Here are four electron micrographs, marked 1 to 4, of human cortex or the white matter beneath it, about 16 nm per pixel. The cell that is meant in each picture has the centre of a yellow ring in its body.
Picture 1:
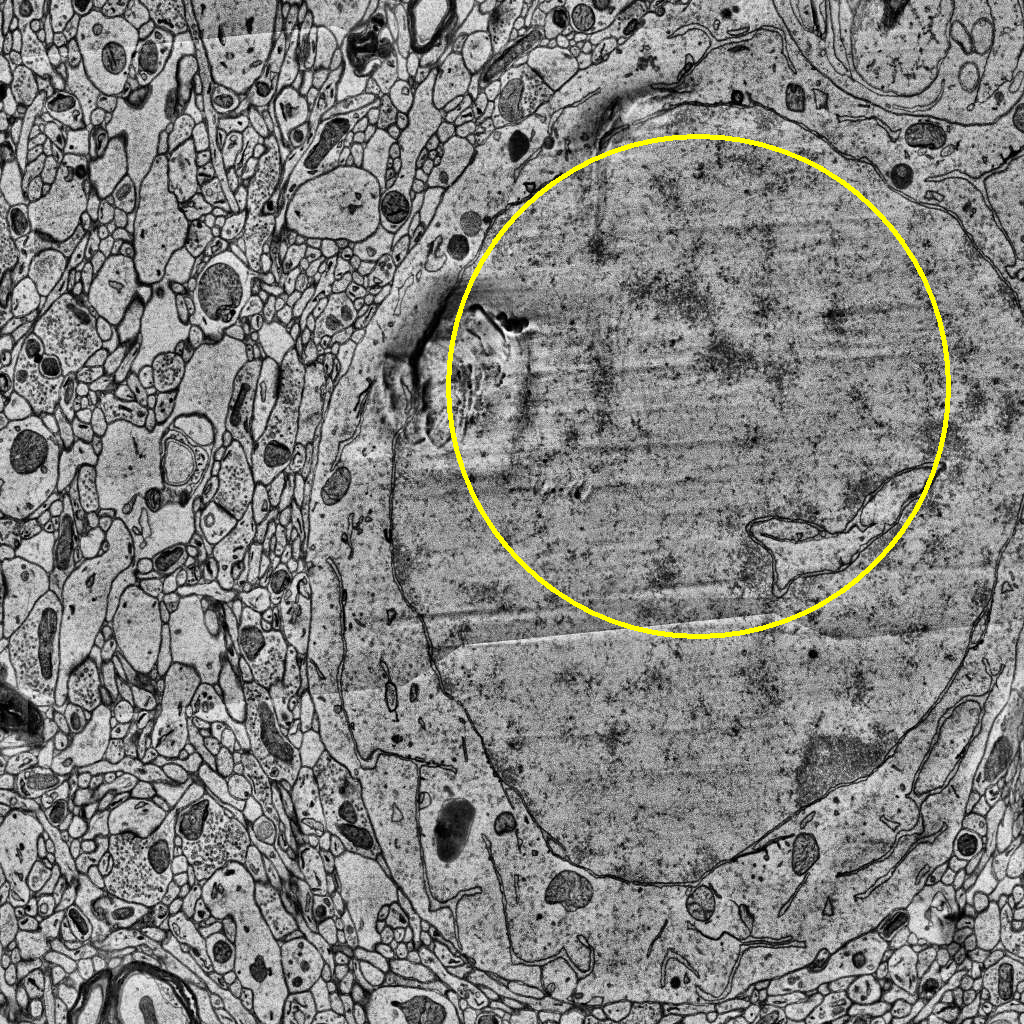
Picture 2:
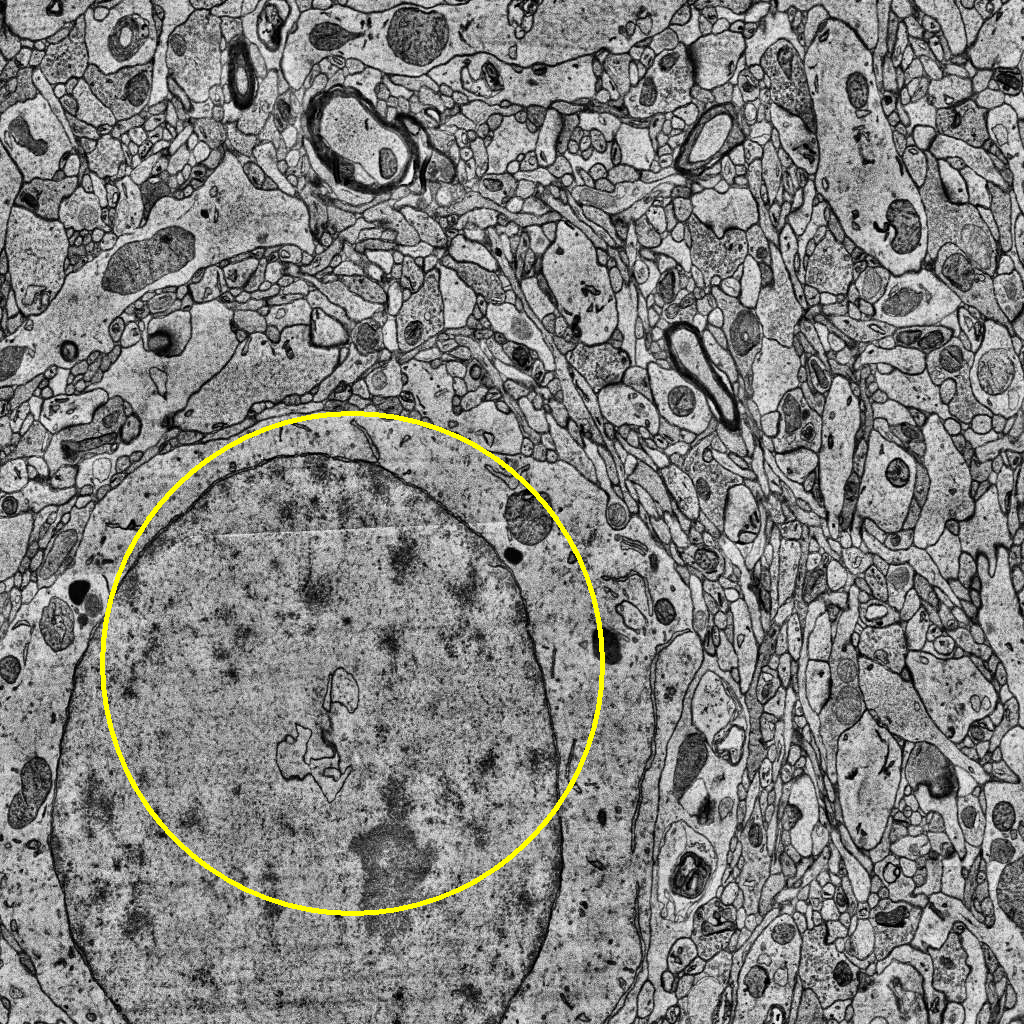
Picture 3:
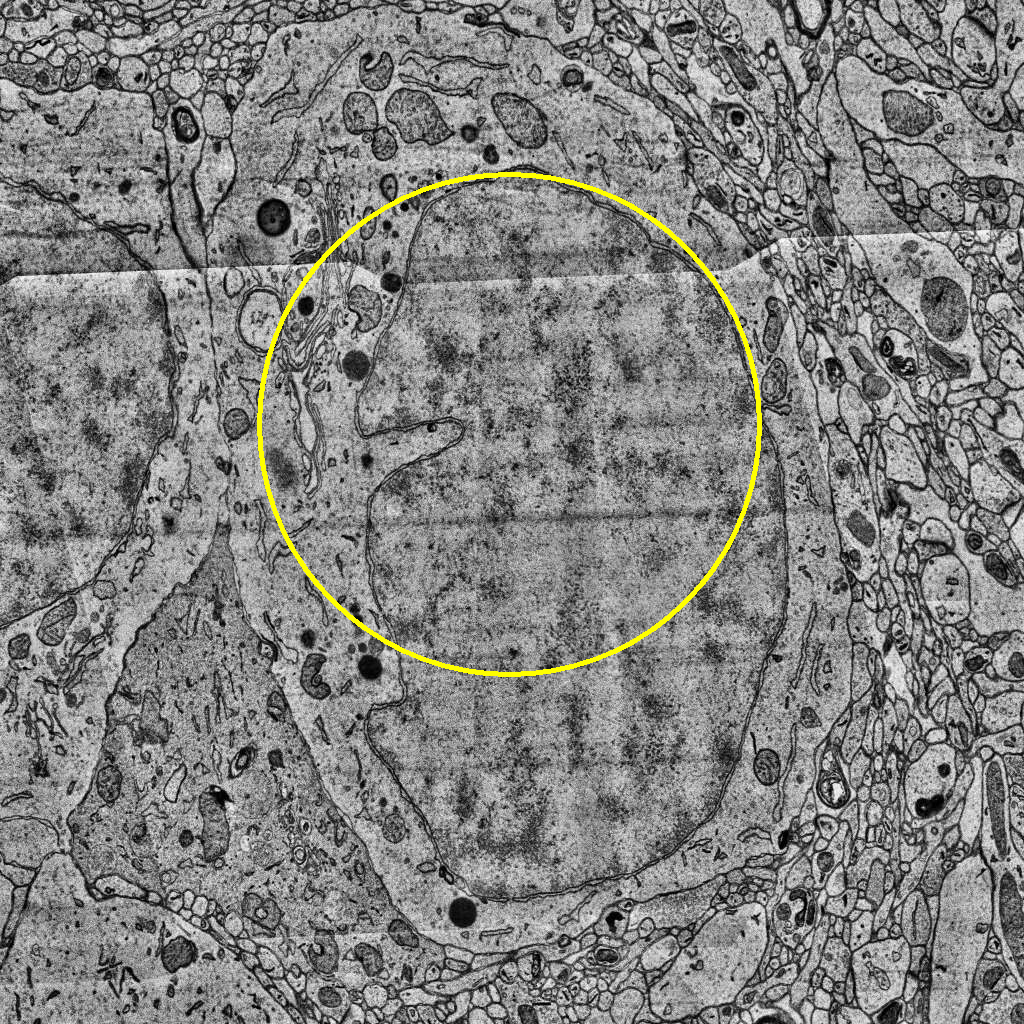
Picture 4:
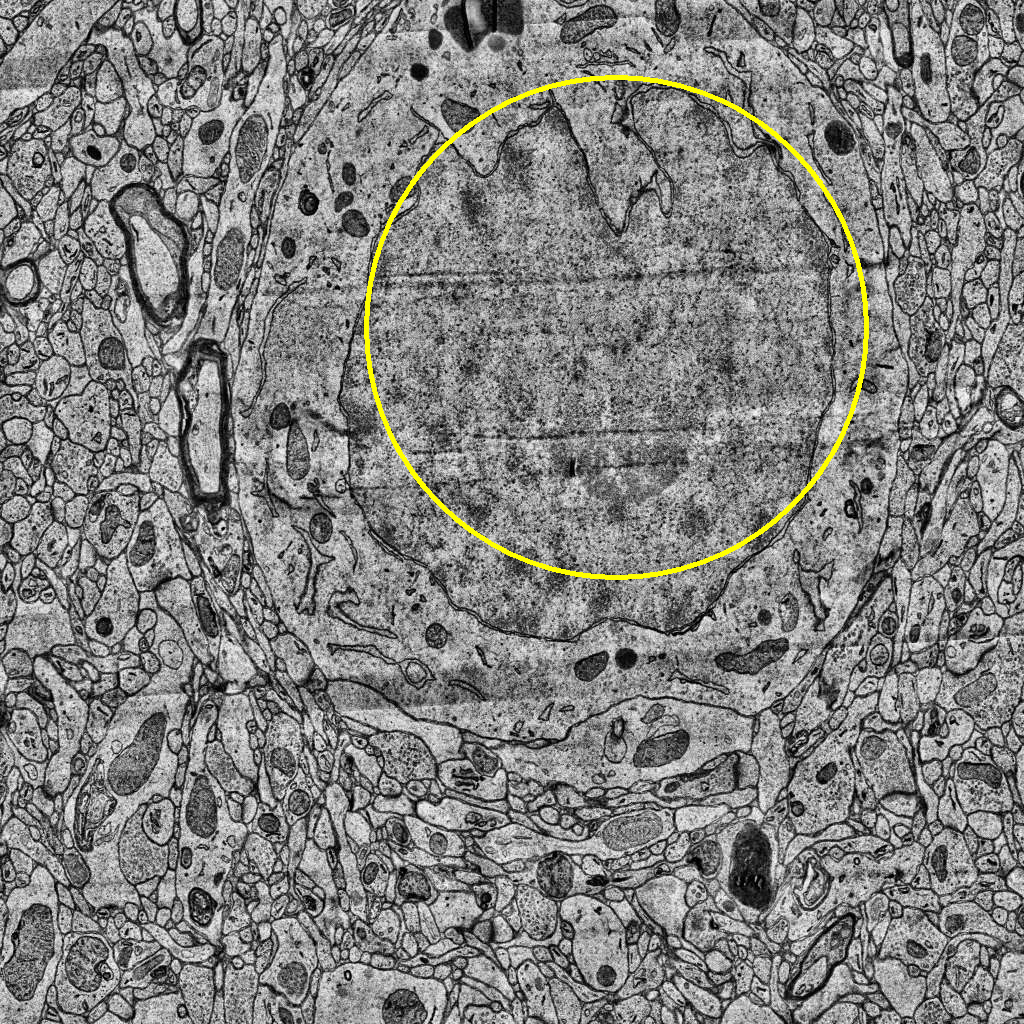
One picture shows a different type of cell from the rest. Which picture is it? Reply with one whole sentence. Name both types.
Unlike the rest, which show interneurons, picture 2 shows a pyramidal neuron.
